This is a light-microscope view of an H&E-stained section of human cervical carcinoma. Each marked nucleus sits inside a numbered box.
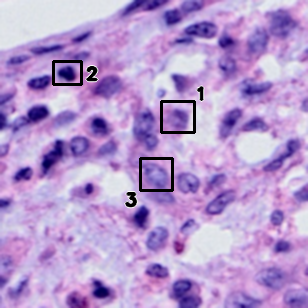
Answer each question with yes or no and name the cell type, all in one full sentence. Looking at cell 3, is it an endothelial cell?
Yes, cell number 3 in this section is an endothelial cell.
